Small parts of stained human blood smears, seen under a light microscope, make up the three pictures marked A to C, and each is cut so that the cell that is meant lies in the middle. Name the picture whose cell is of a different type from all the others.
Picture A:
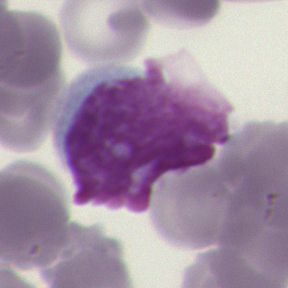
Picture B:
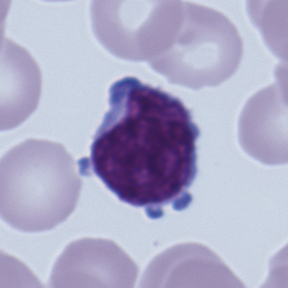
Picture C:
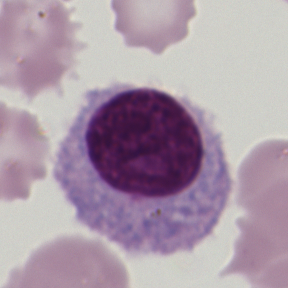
C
